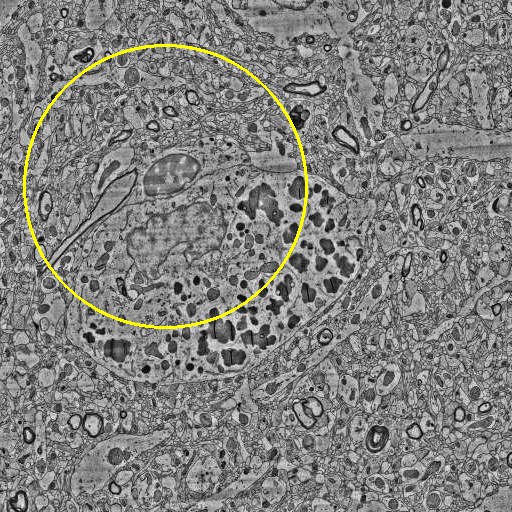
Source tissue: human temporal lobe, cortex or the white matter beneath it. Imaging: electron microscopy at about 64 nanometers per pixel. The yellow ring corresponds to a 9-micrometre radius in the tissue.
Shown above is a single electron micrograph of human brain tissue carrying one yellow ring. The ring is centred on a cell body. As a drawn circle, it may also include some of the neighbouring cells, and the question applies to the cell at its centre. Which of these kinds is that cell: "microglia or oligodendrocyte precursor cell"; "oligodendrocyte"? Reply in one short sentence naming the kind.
The cell marked by the ring is a microglial cell or oligodendrocyte precursor cell.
